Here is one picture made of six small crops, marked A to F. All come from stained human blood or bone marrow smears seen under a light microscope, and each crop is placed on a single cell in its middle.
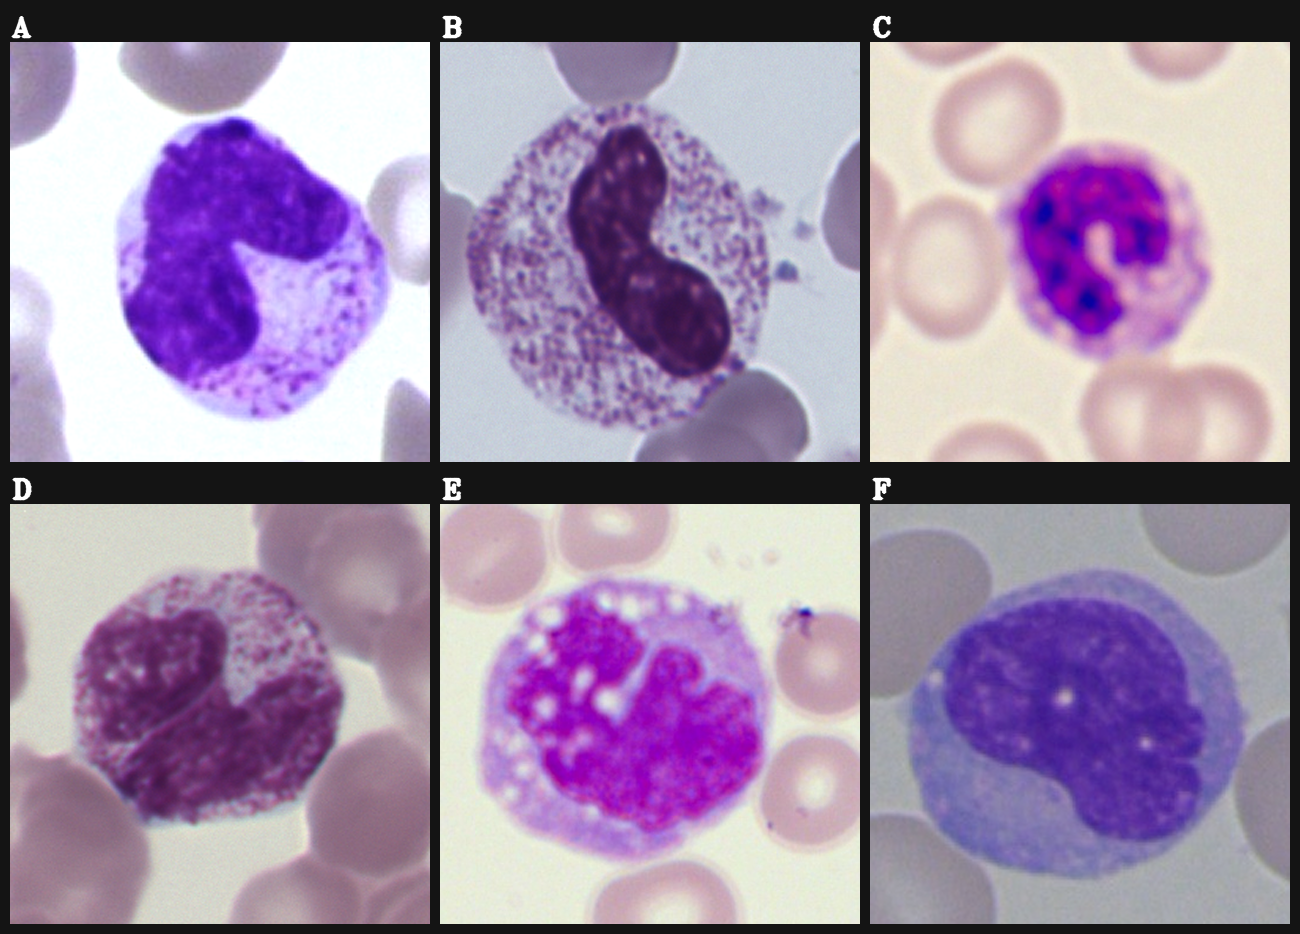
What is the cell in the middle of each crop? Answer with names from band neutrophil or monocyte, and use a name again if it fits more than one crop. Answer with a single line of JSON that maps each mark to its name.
{"A": "band neutrophil", "B": "band neutrophil", "C": "band neutrophil", "D": "band neutrophil", "E": "monocyte", "F": "monocyte"}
